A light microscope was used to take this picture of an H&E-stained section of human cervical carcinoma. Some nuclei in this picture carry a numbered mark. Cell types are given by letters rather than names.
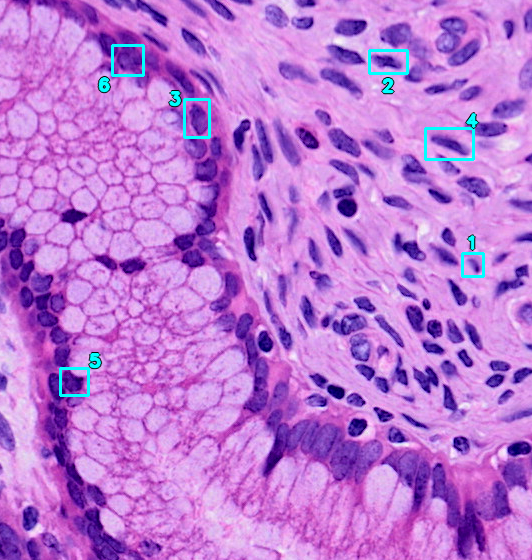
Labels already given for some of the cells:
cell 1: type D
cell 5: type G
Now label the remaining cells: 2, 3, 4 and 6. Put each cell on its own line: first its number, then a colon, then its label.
2: type D
3: type G
4: type D
6: type G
